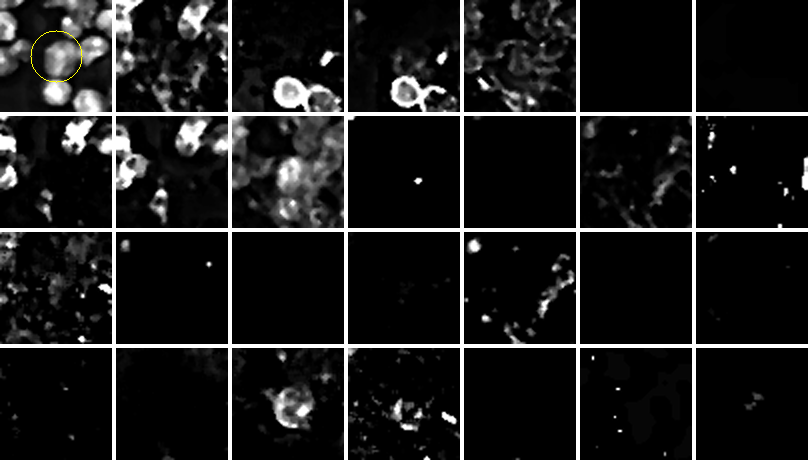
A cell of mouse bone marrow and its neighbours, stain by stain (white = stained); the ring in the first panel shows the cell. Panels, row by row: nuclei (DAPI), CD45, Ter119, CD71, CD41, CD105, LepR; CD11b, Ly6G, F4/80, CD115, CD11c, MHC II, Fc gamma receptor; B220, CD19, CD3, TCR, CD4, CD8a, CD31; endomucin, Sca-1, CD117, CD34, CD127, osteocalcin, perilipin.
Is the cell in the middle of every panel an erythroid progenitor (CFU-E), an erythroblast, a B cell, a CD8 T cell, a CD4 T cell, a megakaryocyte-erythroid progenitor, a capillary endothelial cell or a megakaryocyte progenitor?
It is a megakaryocyte-erythroid progenitor.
